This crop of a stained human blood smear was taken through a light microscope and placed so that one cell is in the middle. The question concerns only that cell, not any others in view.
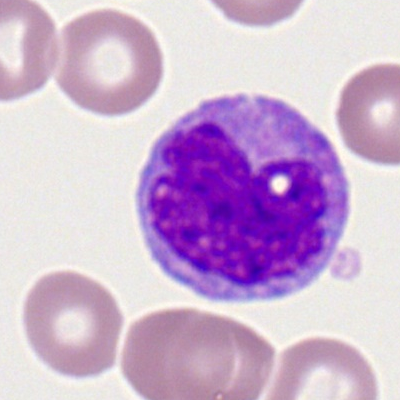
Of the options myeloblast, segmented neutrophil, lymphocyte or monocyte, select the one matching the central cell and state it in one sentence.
Centred in the crop is a monocyte.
